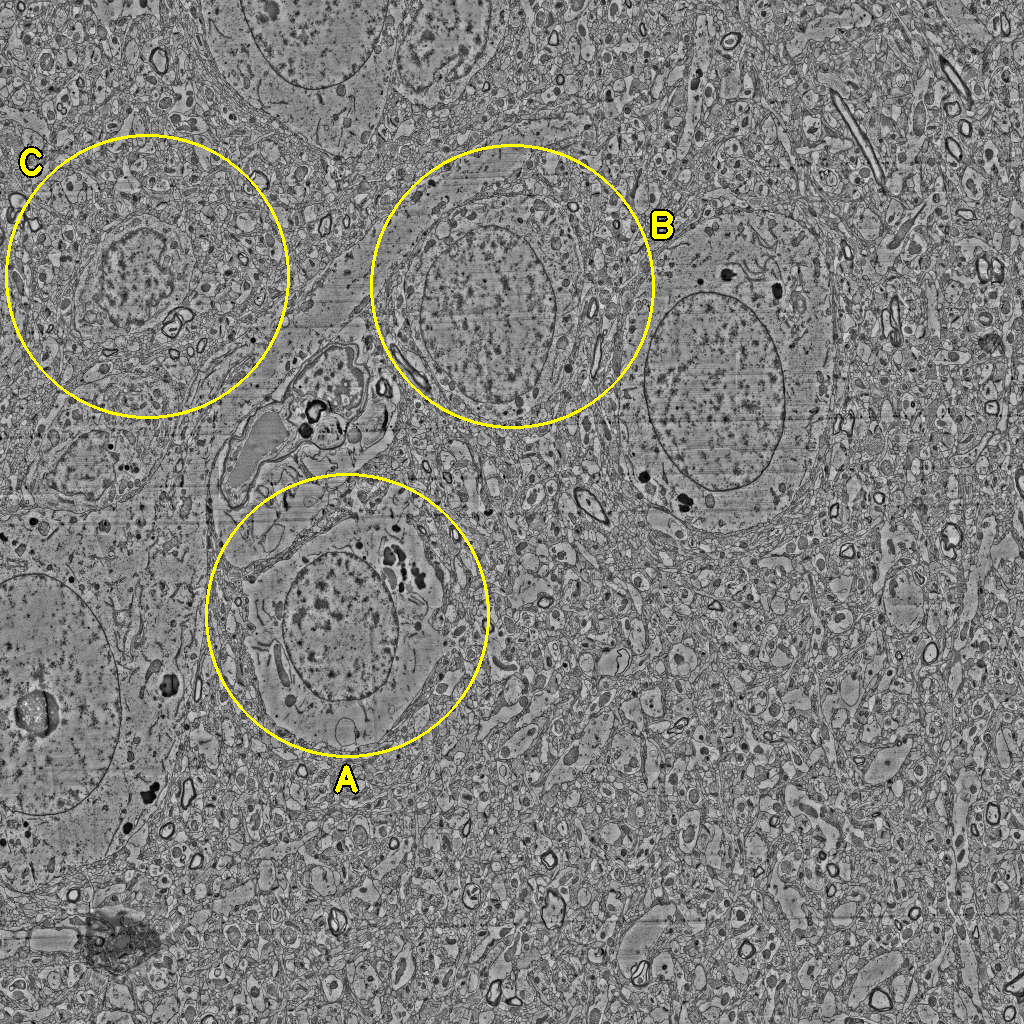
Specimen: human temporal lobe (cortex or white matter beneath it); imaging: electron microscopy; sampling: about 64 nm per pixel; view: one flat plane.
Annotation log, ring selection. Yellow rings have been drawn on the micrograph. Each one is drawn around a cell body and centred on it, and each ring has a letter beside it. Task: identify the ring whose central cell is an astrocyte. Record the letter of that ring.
A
